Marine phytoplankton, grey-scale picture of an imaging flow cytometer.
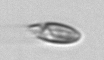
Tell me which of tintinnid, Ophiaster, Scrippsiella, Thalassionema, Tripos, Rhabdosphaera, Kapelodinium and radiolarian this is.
The picture shows Kapelodinium.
